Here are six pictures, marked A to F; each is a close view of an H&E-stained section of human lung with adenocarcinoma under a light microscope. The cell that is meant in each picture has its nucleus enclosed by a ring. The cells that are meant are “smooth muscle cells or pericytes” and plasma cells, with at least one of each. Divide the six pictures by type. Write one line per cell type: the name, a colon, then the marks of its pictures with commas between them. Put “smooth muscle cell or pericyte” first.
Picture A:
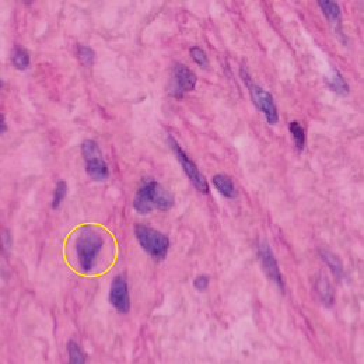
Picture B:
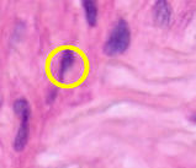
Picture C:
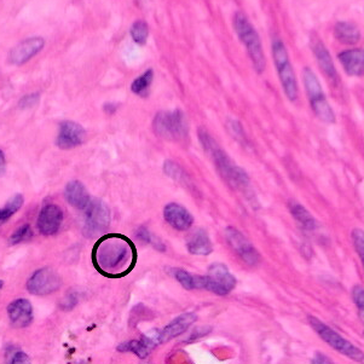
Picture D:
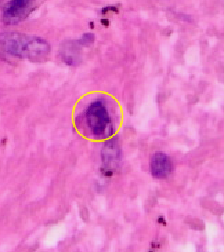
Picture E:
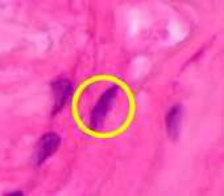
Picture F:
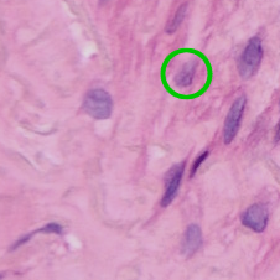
smooth muscle cell or pericyte: A, B, E, F
plasma cell: C, D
